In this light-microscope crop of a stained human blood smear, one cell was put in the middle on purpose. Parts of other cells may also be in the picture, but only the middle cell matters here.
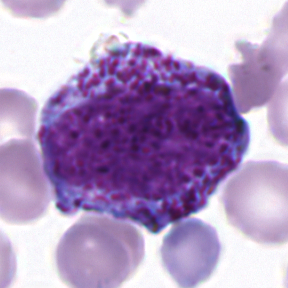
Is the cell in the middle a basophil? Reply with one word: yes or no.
no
